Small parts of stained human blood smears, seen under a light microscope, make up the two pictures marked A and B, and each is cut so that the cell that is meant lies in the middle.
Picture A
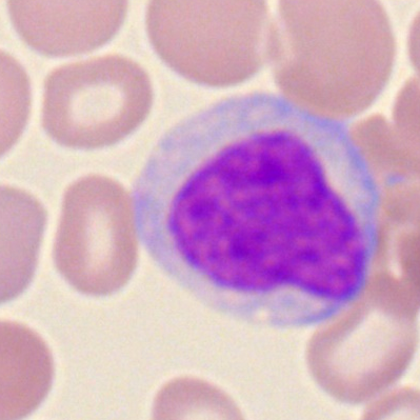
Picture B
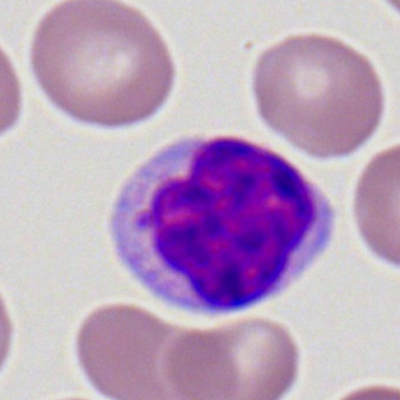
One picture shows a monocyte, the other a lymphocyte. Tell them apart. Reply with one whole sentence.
Picture A shows a monocyte and picture B shows a lymphocyte.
